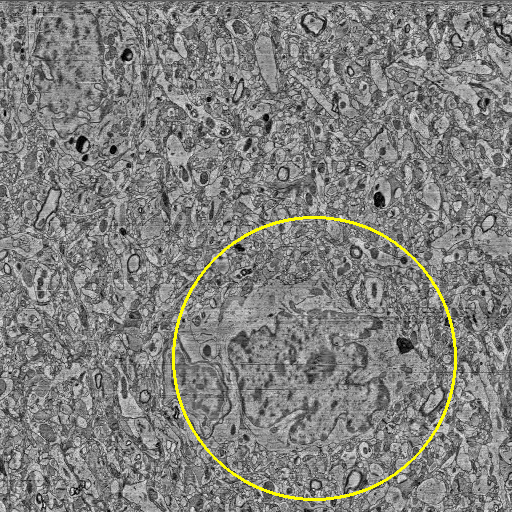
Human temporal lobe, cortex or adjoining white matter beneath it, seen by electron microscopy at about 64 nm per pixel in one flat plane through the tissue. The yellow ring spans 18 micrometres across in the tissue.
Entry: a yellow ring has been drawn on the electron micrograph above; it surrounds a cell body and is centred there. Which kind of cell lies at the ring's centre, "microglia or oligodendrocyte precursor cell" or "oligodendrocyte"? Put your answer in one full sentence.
The cell sitting at the ring's centre is a microglial cell or oligodendrocyte precursor cell in the micrograph above.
